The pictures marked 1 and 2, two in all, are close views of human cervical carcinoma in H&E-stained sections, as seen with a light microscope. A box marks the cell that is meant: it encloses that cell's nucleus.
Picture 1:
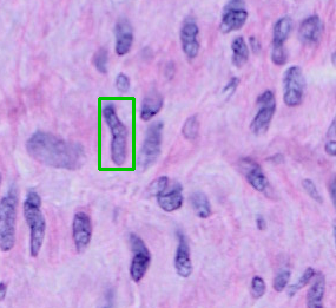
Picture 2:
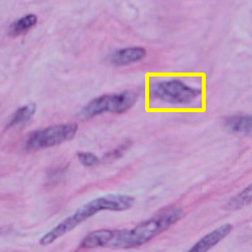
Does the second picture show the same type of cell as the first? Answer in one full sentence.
No; the cell in picture 1 is a smooth muscle cell, while the one in picture 2 is a fibroblast.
